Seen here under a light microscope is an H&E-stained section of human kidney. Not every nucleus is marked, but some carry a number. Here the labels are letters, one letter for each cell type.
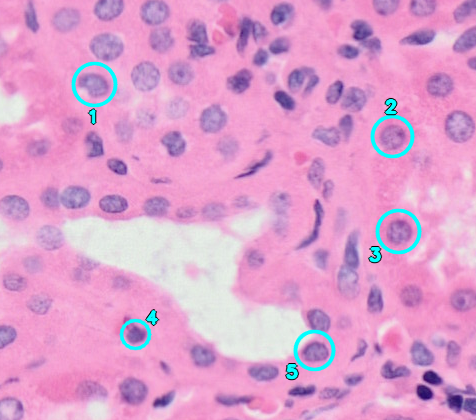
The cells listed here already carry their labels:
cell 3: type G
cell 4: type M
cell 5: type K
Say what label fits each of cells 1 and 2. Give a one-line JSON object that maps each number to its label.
{"1": "type K", "2": "type G"}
